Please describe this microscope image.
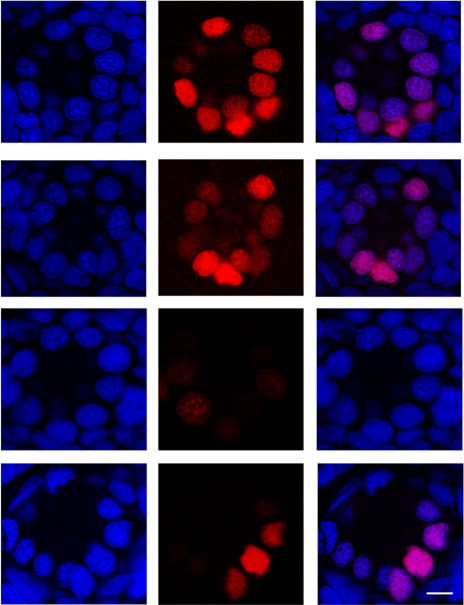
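In some rows many nuclei around the ring glow bright red and appear magenta when merged. Other rows have only a few red nuclei, and one has just faint red.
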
